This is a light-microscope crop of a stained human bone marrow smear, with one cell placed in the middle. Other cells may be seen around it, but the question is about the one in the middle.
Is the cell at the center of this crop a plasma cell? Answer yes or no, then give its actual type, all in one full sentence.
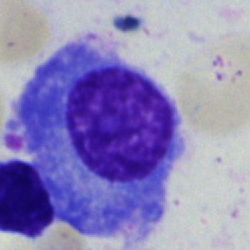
Yes, as regards the cell in the middle, it is a plasma cell.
